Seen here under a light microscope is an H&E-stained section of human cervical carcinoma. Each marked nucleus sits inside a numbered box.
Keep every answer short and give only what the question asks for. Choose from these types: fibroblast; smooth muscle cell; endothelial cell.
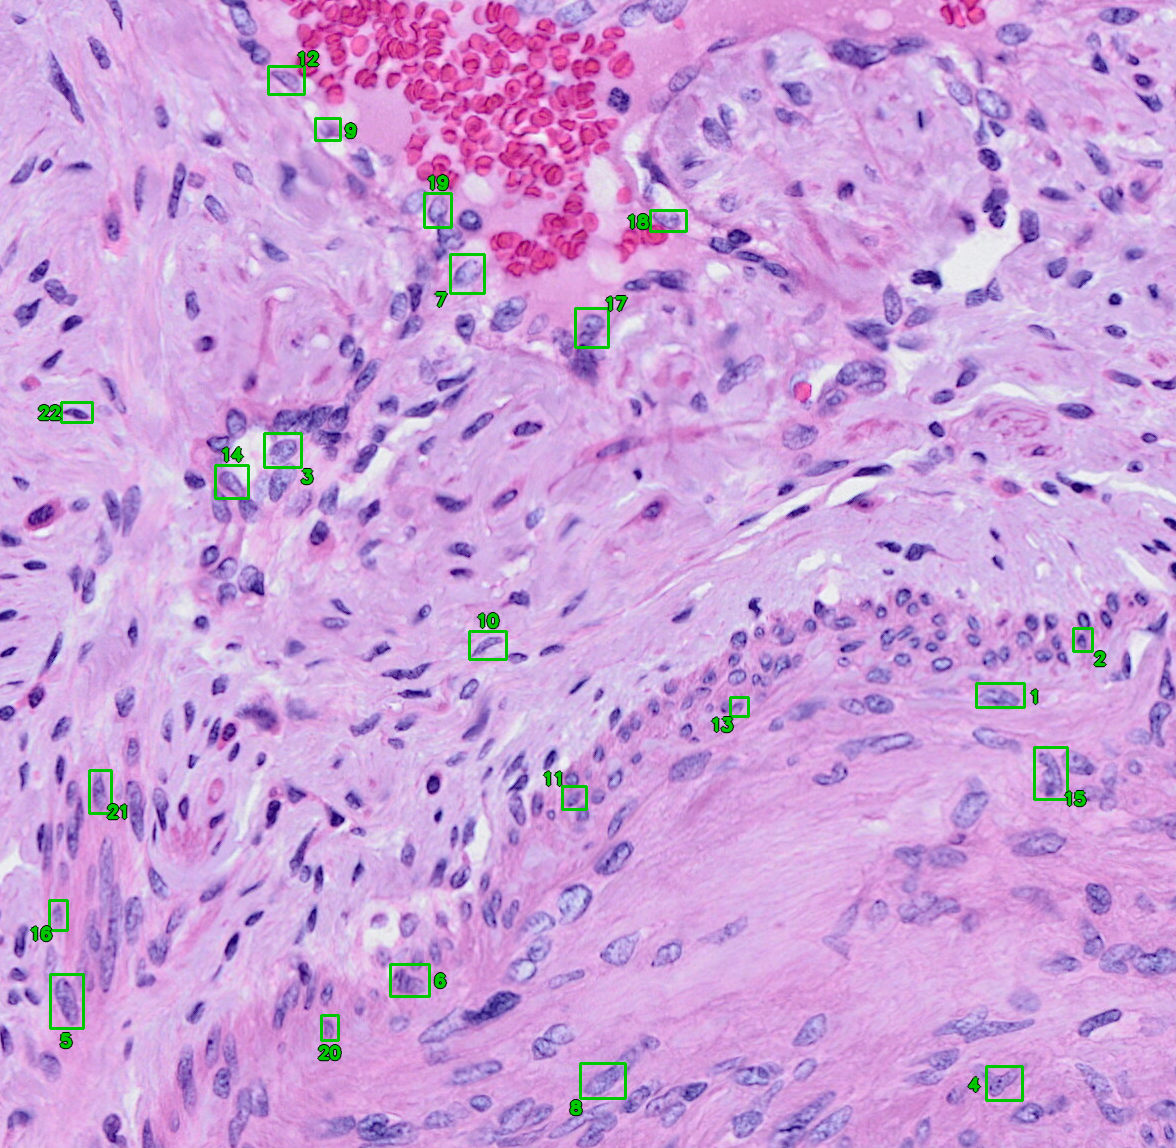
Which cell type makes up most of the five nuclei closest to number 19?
endothelial cell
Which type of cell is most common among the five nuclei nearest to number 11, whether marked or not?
smooth muscle cell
